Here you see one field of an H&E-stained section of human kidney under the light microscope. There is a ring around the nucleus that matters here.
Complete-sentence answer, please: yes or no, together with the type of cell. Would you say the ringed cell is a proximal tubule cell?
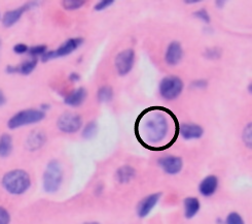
No, rather than a proximal tubule cell, the ringed cell is a loop of Henle or distal tubule cell.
